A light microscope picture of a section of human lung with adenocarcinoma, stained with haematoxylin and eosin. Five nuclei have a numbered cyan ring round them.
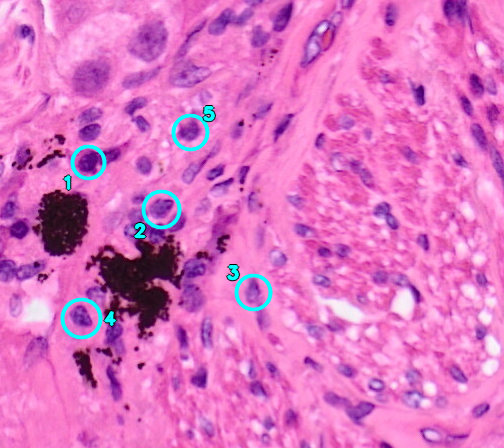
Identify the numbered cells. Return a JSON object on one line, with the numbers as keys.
{"1": "plasma cell", "2": "lymphocyte", "3": "mast cell", "4": "mast cell", "5": "plasma cell"}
